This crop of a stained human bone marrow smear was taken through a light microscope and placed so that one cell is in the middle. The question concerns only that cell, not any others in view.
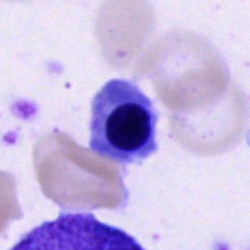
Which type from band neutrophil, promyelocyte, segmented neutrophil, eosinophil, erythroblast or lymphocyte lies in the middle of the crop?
erythroblast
